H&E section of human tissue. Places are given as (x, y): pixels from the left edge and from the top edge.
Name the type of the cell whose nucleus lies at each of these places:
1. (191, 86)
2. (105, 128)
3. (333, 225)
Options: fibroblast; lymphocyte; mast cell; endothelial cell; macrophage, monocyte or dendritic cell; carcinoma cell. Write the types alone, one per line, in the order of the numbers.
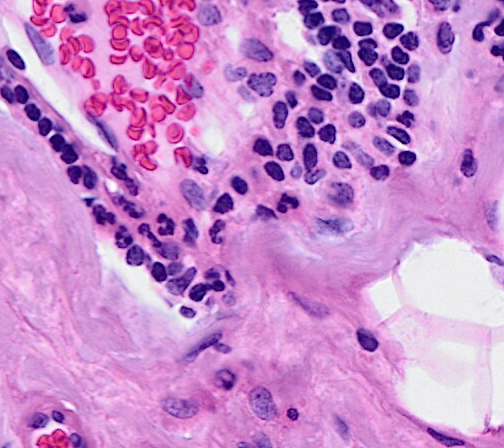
endothelial cell
endothelial cell
fibroblast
